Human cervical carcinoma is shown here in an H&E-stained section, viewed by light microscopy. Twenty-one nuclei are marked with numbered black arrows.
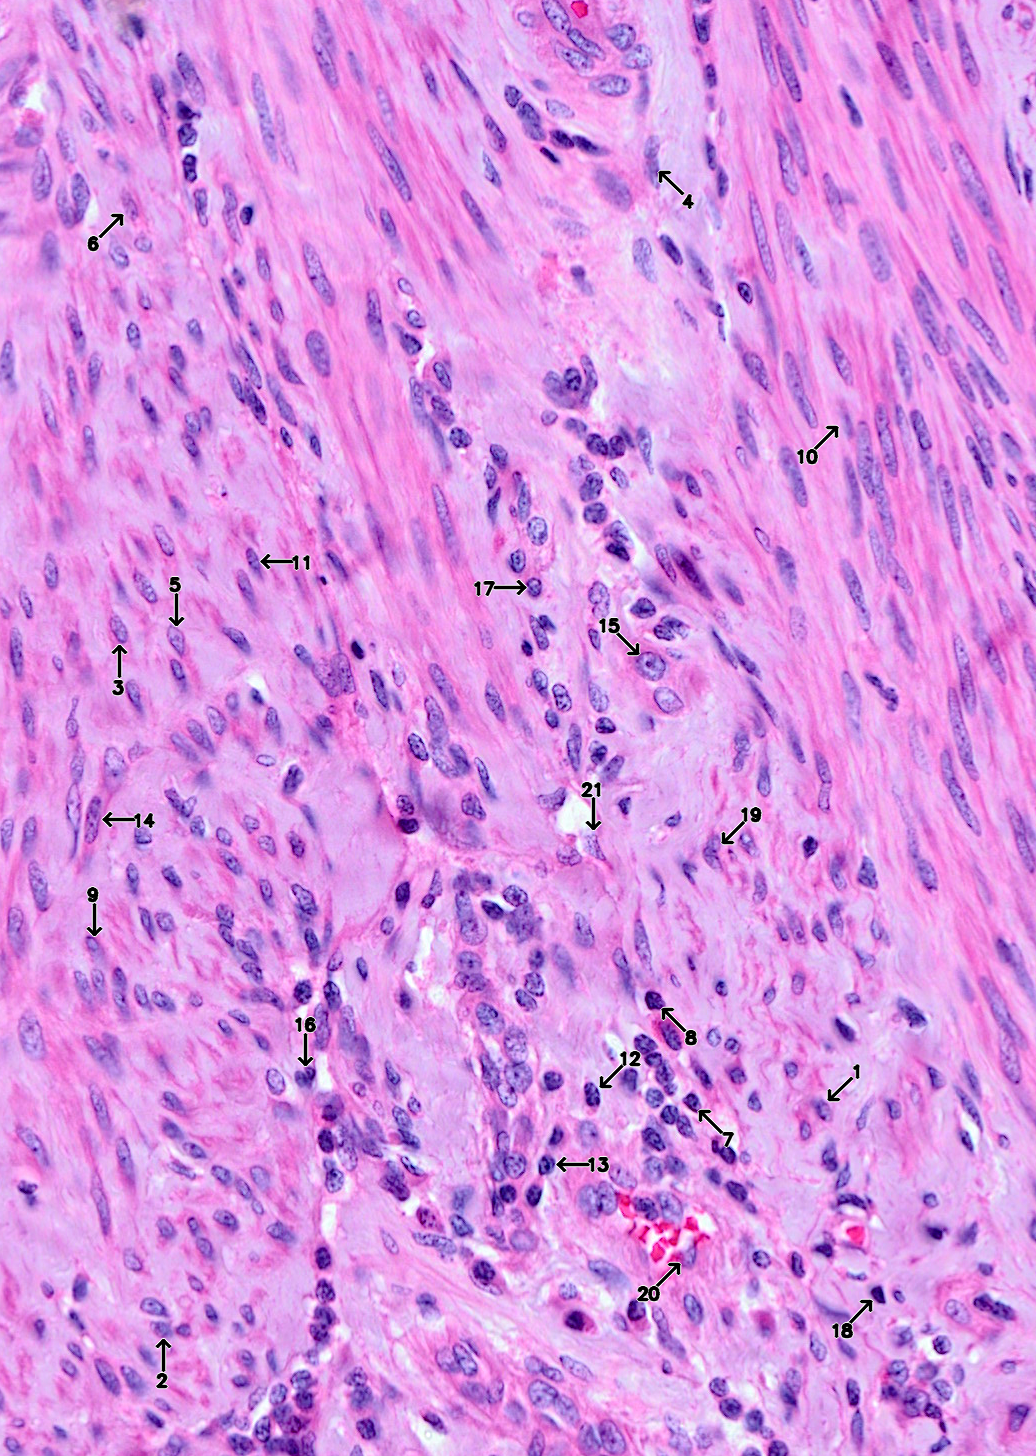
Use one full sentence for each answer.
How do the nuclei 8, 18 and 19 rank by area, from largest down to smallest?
Largest first, the order by area is 19, 8, 18.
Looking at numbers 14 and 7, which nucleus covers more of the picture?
Of the two, number 14 is bigger and takes up about 2 times the area of number 7.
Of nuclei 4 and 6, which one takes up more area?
Of the two, number 4 is bigger and takes up about 2 times the area of number 6.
